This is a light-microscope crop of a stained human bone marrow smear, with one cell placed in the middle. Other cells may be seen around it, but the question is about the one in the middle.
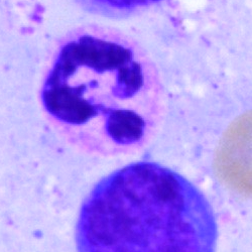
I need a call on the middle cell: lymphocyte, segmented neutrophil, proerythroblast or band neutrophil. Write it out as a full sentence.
The central cell, amid any neighbouring cells, is a segmented neutrophil.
